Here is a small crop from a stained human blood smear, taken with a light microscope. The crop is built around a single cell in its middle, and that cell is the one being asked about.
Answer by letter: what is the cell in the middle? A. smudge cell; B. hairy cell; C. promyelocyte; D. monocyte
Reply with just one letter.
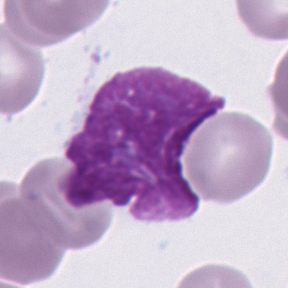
A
